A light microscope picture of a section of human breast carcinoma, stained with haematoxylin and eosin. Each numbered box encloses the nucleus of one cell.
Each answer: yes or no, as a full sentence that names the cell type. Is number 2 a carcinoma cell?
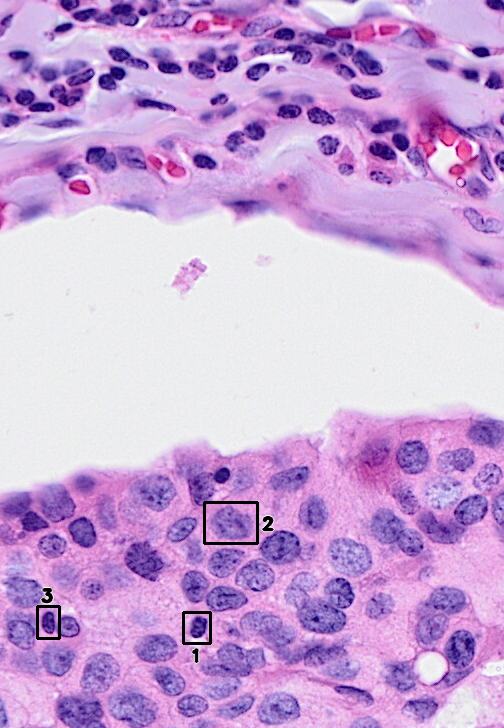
Yes, it checks out; the cell labelled 2 is a carcinoma cell.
